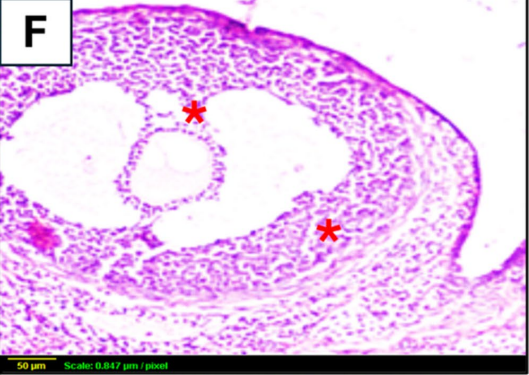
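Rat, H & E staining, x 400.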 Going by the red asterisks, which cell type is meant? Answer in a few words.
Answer: granulosa cells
